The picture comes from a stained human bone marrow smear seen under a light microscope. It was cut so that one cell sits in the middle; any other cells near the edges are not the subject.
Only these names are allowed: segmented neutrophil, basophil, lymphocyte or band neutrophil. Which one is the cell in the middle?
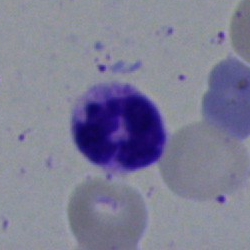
segmented neutrophil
